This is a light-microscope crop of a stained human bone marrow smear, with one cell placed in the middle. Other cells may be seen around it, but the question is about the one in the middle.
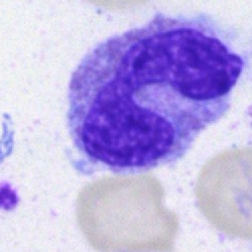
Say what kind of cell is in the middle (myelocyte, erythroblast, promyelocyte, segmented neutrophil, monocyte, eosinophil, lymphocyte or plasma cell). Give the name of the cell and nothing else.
monocyte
